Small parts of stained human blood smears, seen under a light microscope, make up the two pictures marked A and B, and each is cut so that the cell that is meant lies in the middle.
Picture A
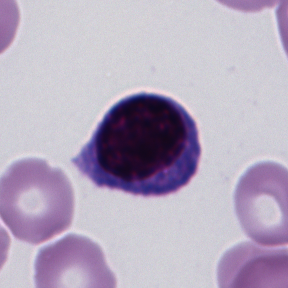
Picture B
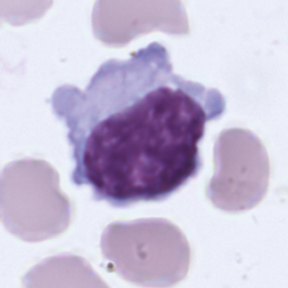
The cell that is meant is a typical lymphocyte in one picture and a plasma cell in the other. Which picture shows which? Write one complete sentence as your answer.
Picture A shows a typical lymphocyte and picture B shows a plasma cell.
